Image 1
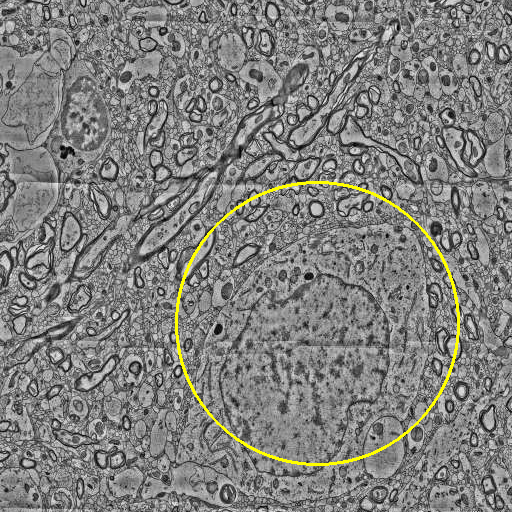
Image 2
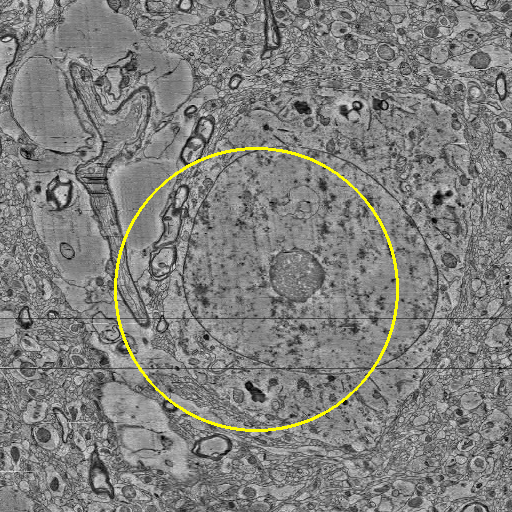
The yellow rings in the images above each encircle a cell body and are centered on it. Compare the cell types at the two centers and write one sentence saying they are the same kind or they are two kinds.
Taken together, the two cells at the ring centers are two kinds.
